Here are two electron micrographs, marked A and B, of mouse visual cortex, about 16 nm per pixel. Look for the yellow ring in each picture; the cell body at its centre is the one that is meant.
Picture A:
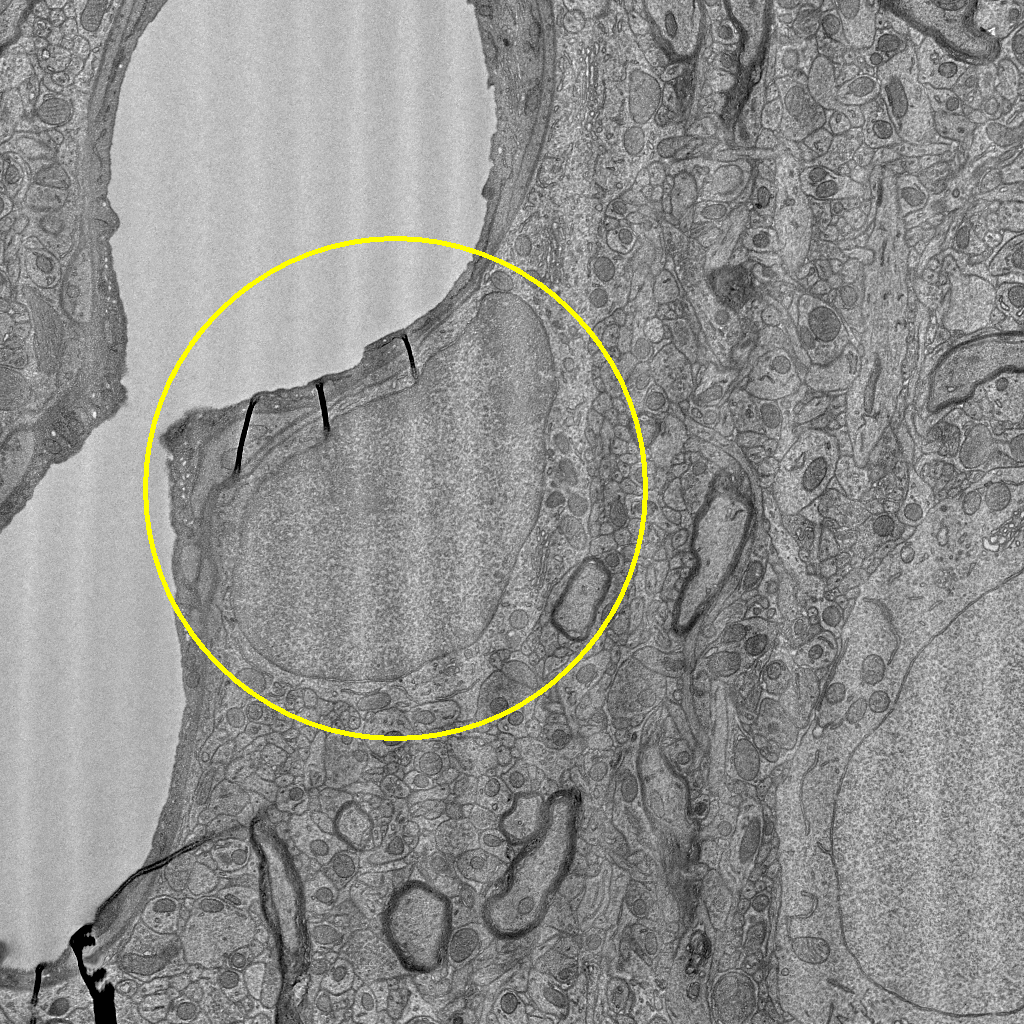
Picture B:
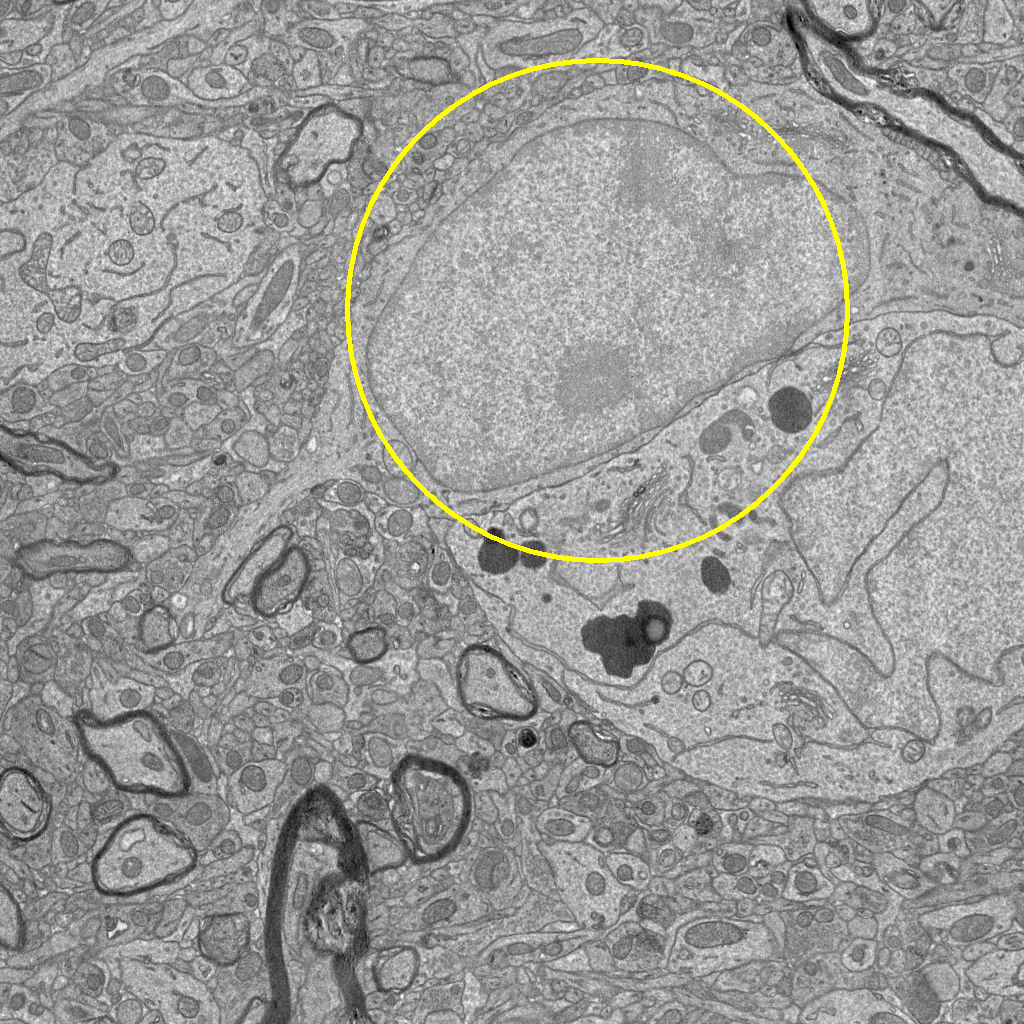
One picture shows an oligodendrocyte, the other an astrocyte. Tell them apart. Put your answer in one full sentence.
In picture A the cell is an astrocyte; in picture B, an oligodendrocyte.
